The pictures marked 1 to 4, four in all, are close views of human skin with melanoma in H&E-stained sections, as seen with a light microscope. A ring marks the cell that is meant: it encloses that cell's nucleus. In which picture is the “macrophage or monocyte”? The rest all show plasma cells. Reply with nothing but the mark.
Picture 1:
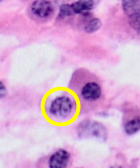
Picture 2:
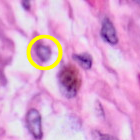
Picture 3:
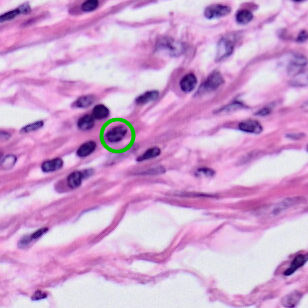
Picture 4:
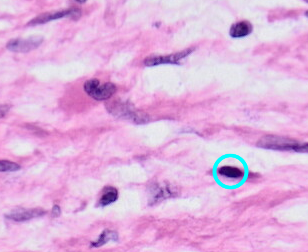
2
